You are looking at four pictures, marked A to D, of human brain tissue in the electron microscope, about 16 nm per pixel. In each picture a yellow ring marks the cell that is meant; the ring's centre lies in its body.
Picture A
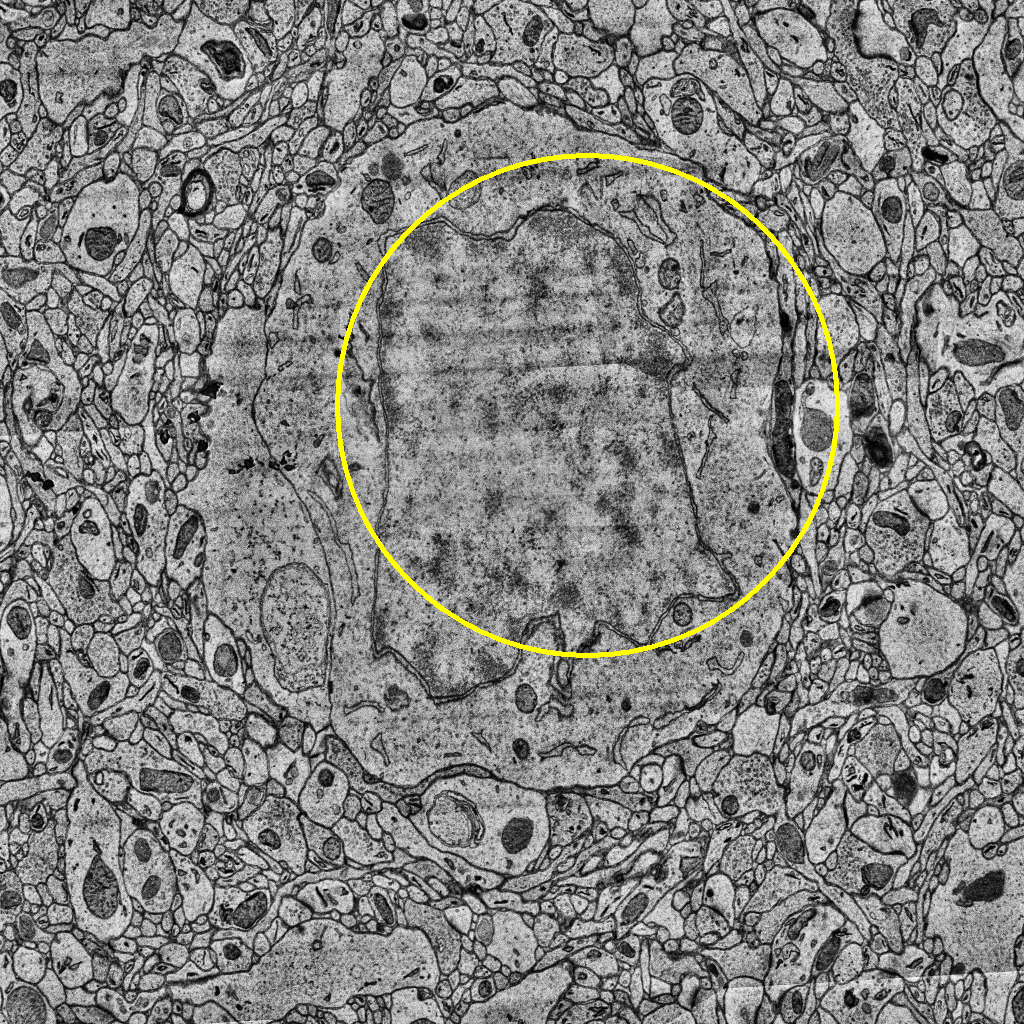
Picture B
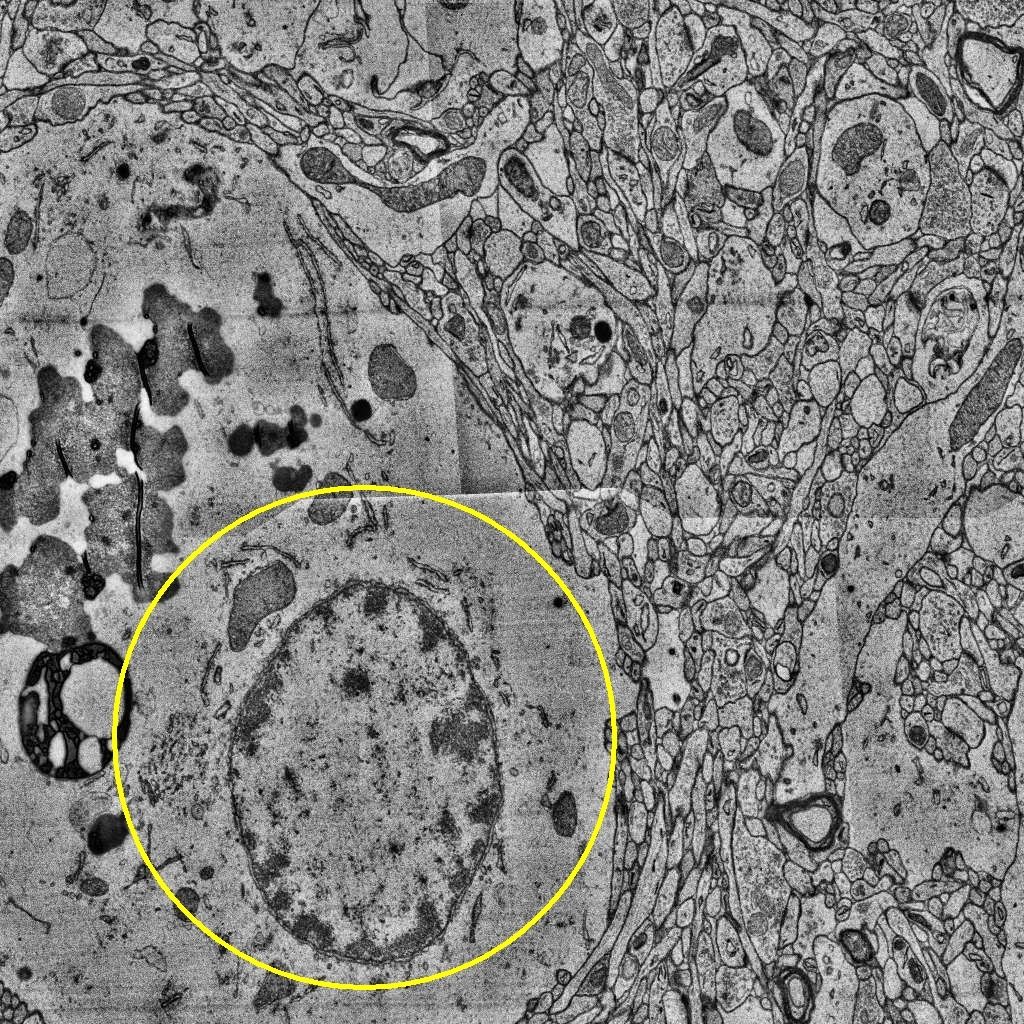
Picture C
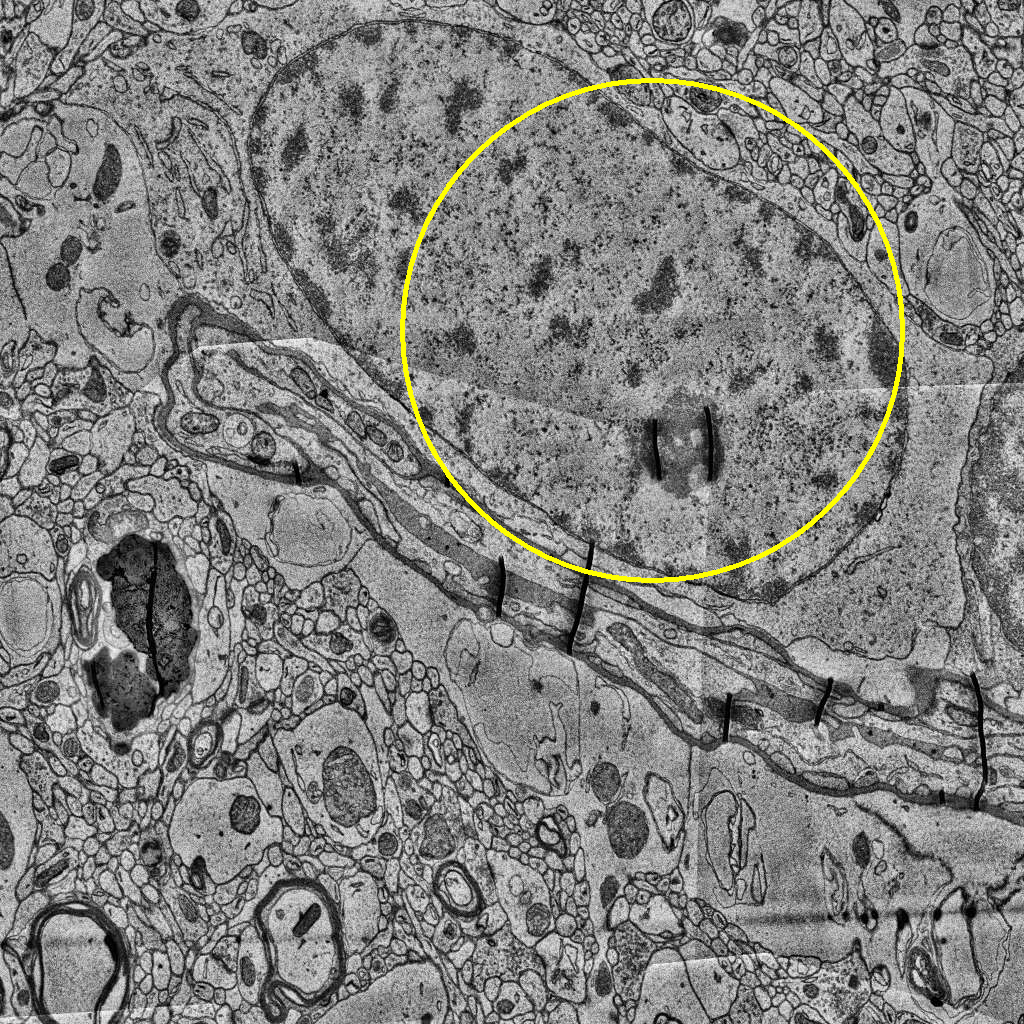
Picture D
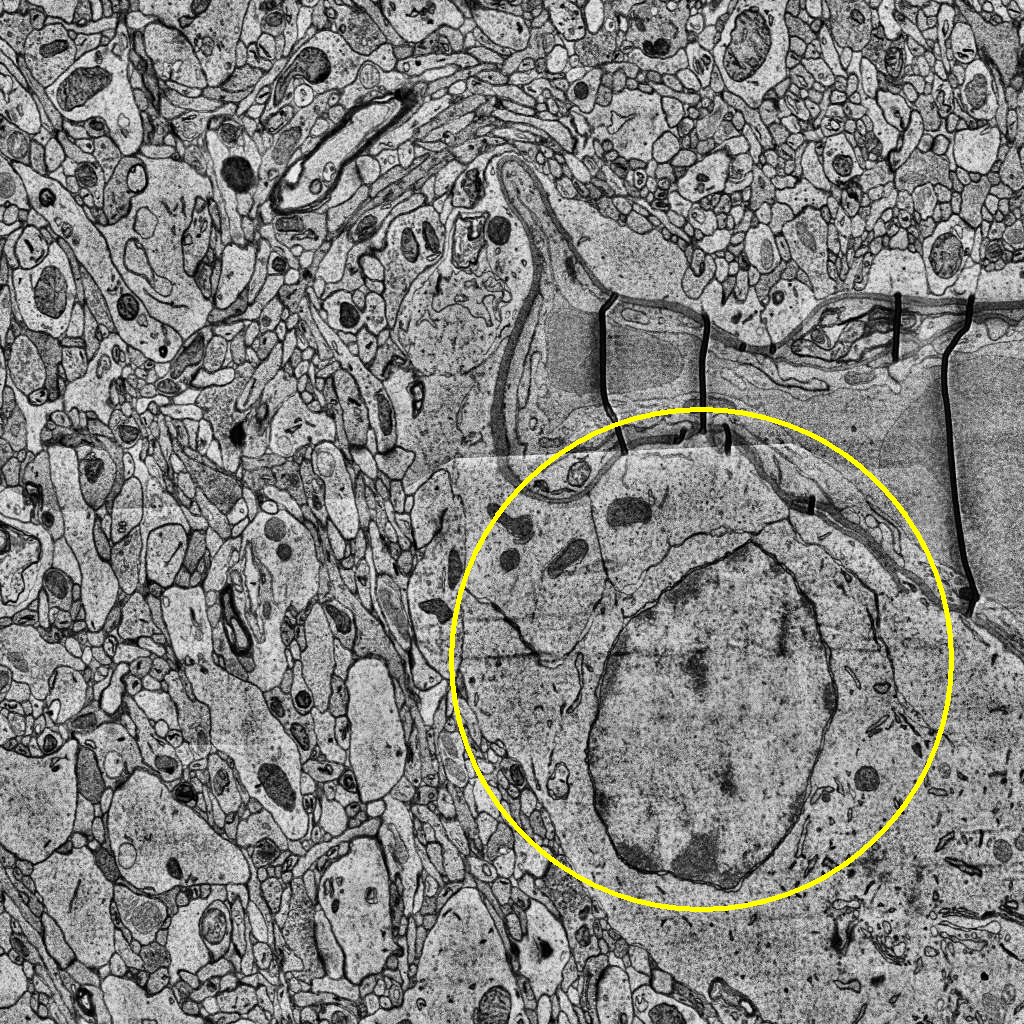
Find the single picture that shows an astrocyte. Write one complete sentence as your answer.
The cell in picture B is the astrocyte.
